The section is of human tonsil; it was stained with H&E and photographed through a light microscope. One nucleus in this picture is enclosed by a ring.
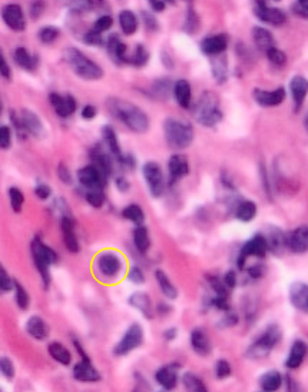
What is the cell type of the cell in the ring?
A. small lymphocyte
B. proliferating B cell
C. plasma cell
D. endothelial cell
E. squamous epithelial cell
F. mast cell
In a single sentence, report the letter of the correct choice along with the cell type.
The correct option is F, as the cell in the ring is a mast cell.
